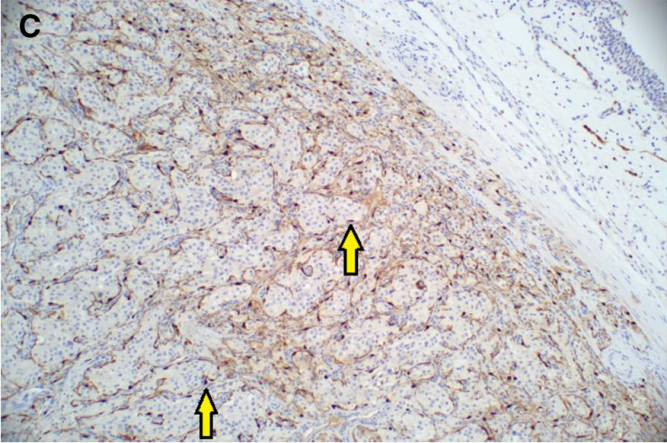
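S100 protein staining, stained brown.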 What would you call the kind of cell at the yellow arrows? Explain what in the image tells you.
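Thin brown-stained cells with elongated processes lie at the edges of pale cell nests. The larger cells inside the nests are largely unstained. The brown cells form a delicate network outlining the nests. That points to this answer: sustentacular cells.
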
